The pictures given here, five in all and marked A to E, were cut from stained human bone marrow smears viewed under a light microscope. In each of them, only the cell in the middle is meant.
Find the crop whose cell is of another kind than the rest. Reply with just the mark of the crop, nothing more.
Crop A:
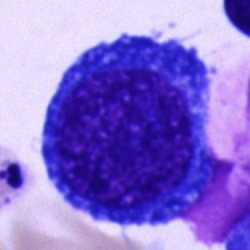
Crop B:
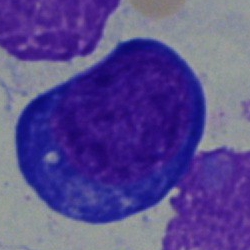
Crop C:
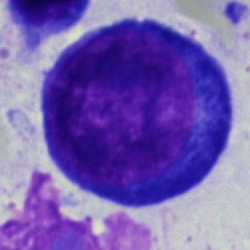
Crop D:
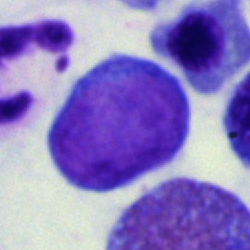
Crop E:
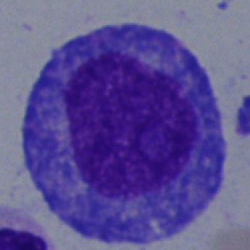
E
